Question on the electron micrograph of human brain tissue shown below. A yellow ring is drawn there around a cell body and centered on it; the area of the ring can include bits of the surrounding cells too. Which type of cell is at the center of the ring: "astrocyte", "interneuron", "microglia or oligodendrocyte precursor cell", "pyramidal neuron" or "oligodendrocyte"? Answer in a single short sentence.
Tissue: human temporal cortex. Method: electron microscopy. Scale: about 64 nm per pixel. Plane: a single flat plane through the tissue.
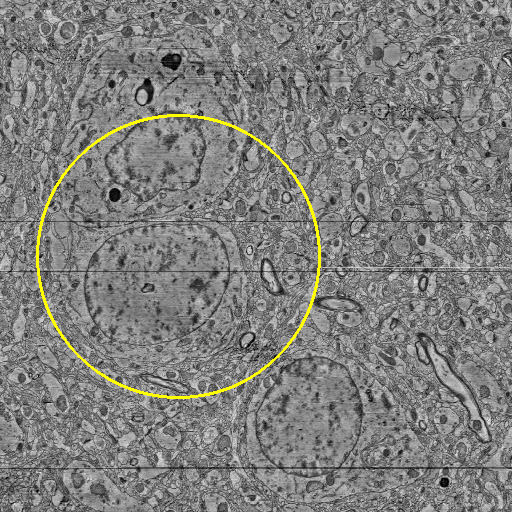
The ring is centered on a pyramidal neuron.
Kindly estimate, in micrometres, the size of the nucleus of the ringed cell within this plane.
In this plane the nucleus measures roughly 10 by 8 micrometres.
